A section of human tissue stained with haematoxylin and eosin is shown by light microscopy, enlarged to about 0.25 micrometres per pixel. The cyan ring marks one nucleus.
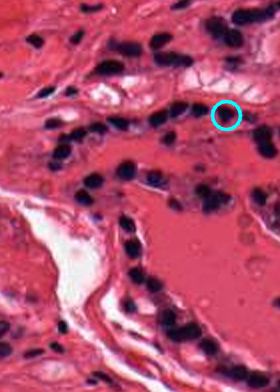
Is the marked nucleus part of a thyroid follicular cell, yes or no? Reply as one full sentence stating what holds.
Yes, the marked nucleus belongs to a thyroid follicular cell in this image.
